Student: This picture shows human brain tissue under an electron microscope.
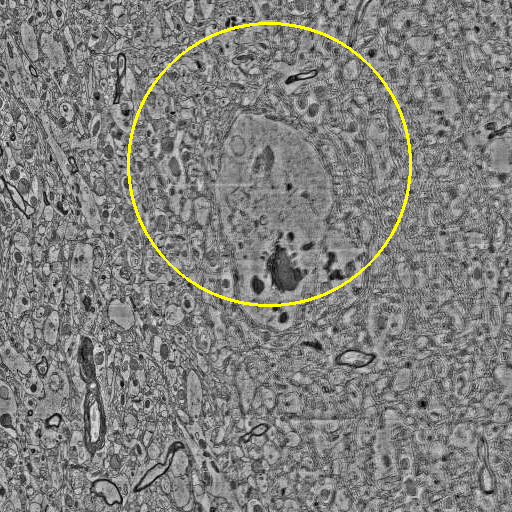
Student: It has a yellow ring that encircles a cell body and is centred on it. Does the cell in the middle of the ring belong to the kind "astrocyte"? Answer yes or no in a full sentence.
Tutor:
Yes, the cell in the middle of the ring in this picture is of that kind.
